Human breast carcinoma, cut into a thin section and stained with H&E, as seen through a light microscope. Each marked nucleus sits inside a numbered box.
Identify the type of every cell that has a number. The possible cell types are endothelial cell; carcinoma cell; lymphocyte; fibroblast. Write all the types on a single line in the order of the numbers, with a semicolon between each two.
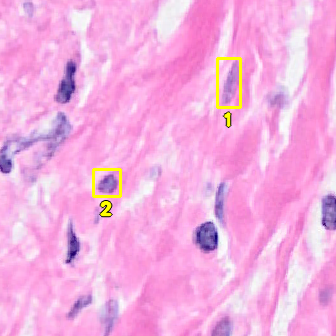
fibroblast; lymphocyte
